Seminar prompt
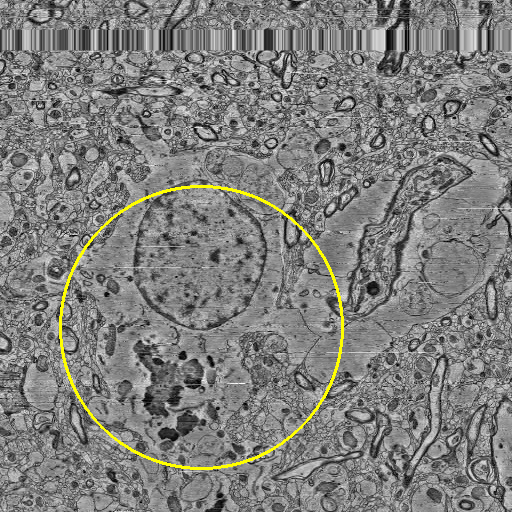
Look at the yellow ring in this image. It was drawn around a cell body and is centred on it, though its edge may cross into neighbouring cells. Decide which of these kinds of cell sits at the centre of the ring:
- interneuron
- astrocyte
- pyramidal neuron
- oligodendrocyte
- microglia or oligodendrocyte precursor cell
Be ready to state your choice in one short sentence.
The kind of cell at the ring's centre is an astrocyte.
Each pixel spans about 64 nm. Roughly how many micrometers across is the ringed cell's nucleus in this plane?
The nucleus appears roughly 10 by 8 micrometres in this plane.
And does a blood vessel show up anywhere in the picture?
Yes, the image shows a blood vessel.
